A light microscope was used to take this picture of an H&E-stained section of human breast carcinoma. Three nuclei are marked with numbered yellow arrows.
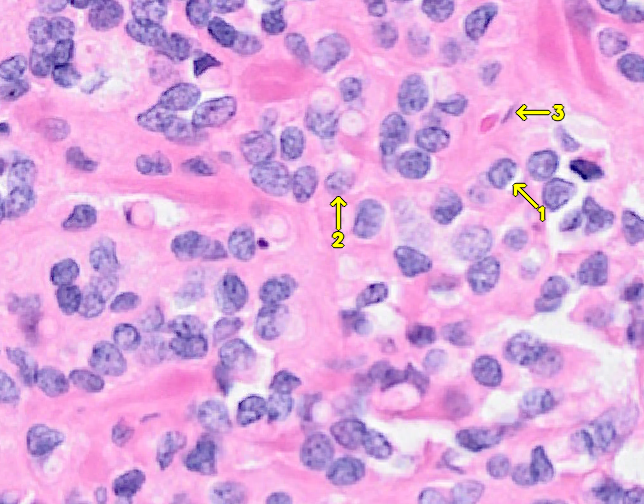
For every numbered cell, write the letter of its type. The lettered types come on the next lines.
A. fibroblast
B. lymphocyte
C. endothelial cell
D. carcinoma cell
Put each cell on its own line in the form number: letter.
1: D
2: D
3: C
